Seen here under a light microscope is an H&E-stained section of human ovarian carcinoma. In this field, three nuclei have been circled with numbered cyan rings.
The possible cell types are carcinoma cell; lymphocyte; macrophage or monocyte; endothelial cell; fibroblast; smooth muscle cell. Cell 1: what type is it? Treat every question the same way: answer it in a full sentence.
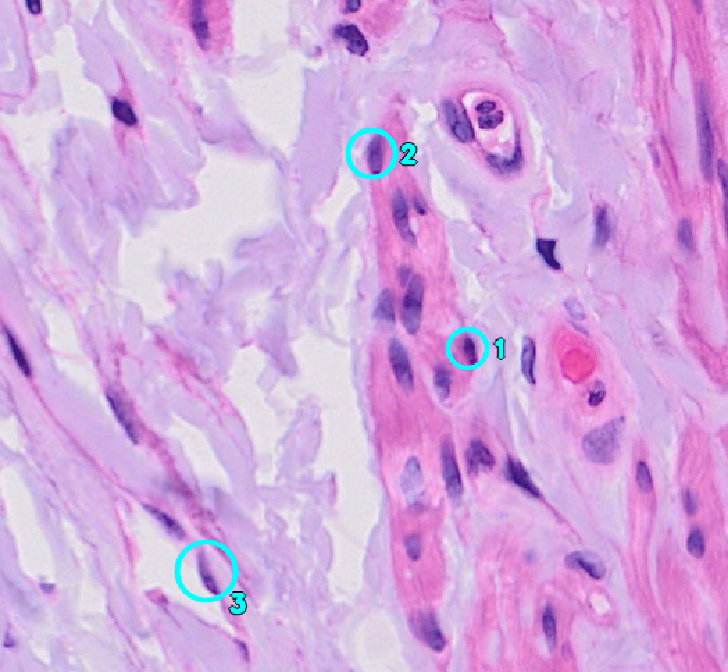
The one labeled 1 is a smooth muscle cell, to put it simply.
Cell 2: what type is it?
In this section, the cell tagged 2 is a smooth muscle cell.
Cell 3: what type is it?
The cell assigned the number 3 is an endothelial cell.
